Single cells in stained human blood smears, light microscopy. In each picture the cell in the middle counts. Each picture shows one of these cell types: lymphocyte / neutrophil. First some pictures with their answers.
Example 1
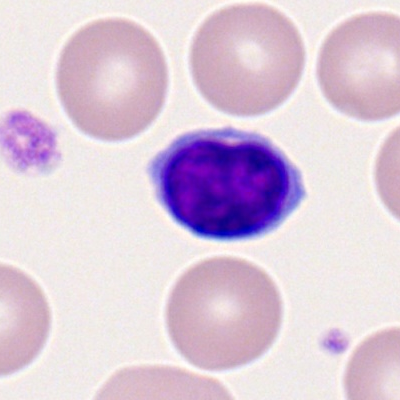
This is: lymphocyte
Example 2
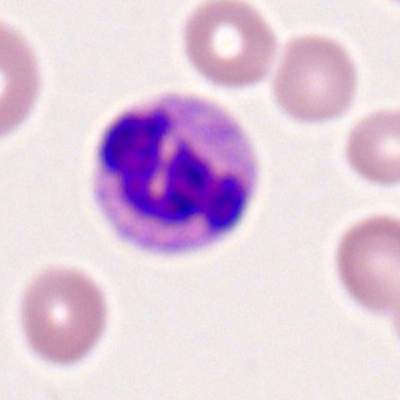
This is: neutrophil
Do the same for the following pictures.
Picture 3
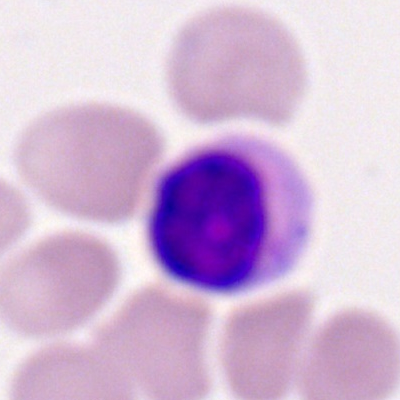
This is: lymphocyte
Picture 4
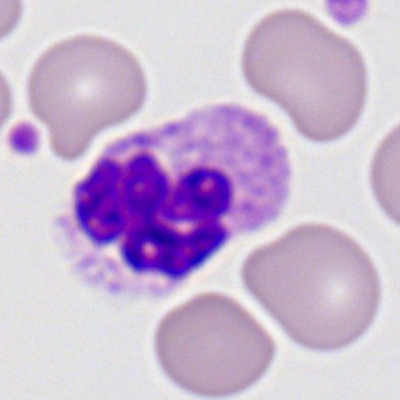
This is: neutrophil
